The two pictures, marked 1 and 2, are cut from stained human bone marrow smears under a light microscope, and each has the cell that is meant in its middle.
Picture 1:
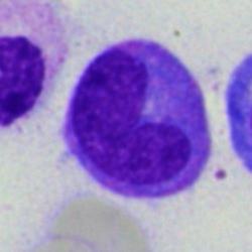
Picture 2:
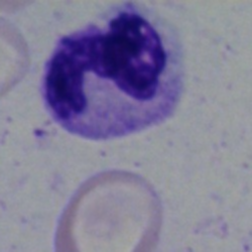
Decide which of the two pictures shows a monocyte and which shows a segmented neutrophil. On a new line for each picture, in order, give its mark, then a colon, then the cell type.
1: monocyte
2: segmented neutrophil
